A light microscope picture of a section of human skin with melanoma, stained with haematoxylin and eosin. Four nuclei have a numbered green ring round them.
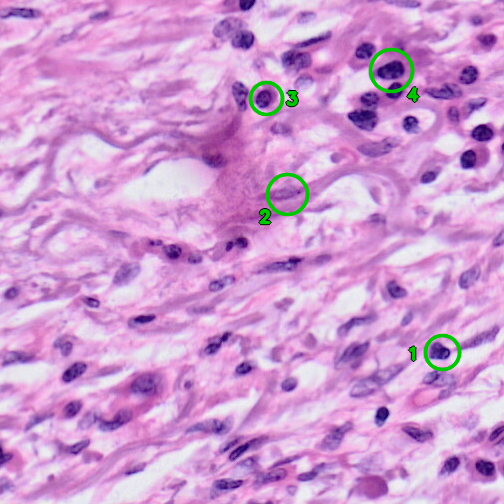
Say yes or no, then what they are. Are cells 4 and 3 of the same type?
Yes, cells 4 and 3 both belong to the category of plasma cells.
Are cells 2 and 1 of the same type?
No, cell 1 is a lymphocyte, and cell 2 is a fibroblast or myofibroblast.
